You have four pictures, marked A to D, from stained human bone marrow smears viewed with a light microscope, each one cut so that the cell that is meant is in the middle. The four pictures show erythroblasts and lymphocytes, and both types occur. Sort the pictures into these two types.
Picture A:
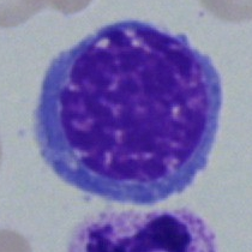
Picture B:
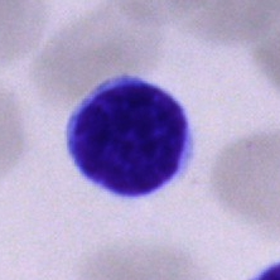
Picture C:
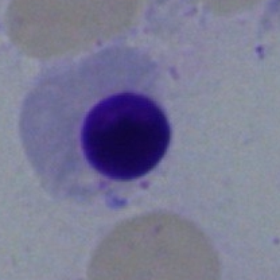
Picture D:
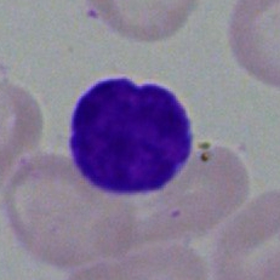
A: erythroblast
B: lymphocyte
C: erythroblast
D: lymphocyte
